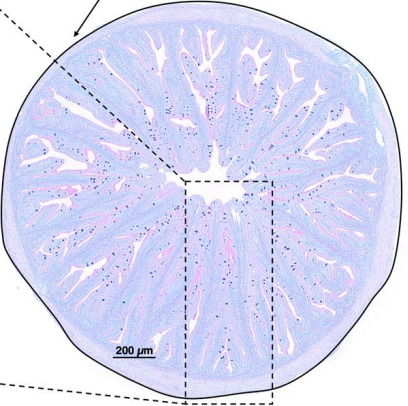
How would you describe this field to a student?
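This is a whole cross-section of the intestine, with a small central lumen and numerous long mucosal folds, the villi, radiating inward from the wall. The tissue stains mainly pale blue, with faint pink areas along the folds. Small dark blue dots, the goblet cells, are scattered singly along the epithelium lining the villi. Narrow white clefts of lumen run between neighbouring villi. A continuous outer layer of the wall, the muscularis, encloses the whole section at its rim.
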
